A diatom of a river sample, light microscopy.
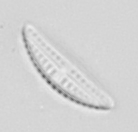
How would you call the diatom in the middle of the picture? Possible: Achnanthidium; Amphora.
I would call it Amphora.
